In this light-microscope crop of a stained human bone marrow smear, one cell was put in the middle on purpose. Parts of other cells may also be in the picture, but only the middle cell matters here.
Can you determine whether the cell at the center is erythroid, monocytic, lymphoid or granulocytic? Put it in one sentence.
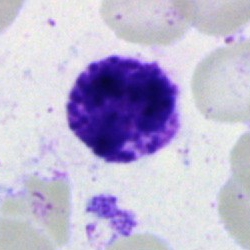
By lineage, the cell in the middle of the crop is granulocytic.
